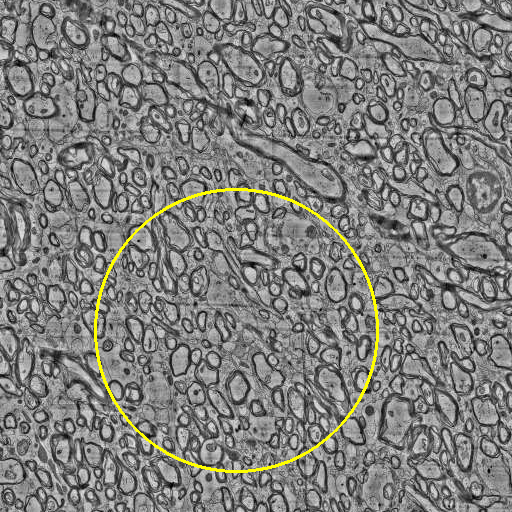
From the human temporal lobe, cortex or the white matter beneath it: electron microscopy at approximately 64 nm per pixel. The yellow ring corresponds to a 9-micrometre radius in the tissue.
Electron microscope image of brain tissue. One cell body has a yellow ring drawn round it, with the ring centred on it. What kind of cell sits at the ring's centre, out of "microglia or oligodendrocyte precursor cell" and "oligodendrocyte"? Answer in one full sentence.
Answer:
It is an oligodendrocyte whose cell body sits at the centre of the yellow ring.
